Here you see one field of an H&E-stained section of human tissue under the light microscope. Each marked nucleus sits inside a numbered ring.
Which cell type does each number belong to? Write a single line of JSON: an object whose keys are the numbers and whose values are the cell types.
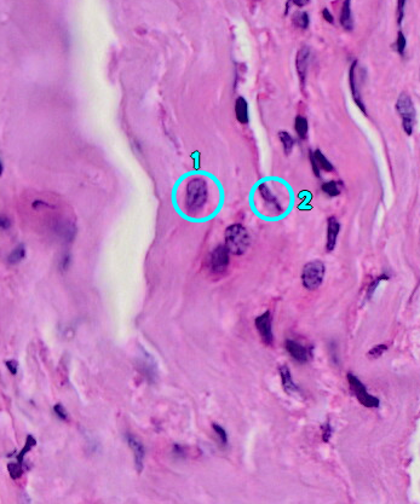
{"1": "mast cell", "2": "fibroblast"}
